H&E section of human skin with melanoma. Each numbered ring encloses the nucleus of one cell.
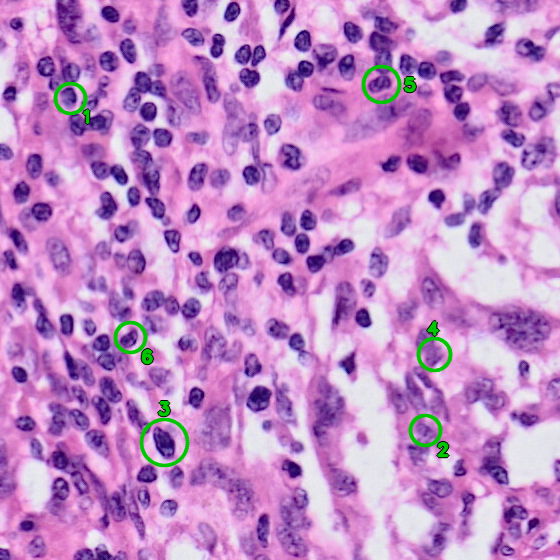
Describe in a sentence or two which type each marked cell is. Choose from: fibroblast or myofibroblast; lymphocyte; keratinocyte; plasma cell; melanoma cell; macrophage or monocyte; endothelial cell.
Cell 1 is a lymphocyte, cell 2 is a melanoma cell, cell 3 is a lymphocyte, cell 4 is a melanoma cell, cell 5 is a lymphocyte and cell 6 is a lymphocyte.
